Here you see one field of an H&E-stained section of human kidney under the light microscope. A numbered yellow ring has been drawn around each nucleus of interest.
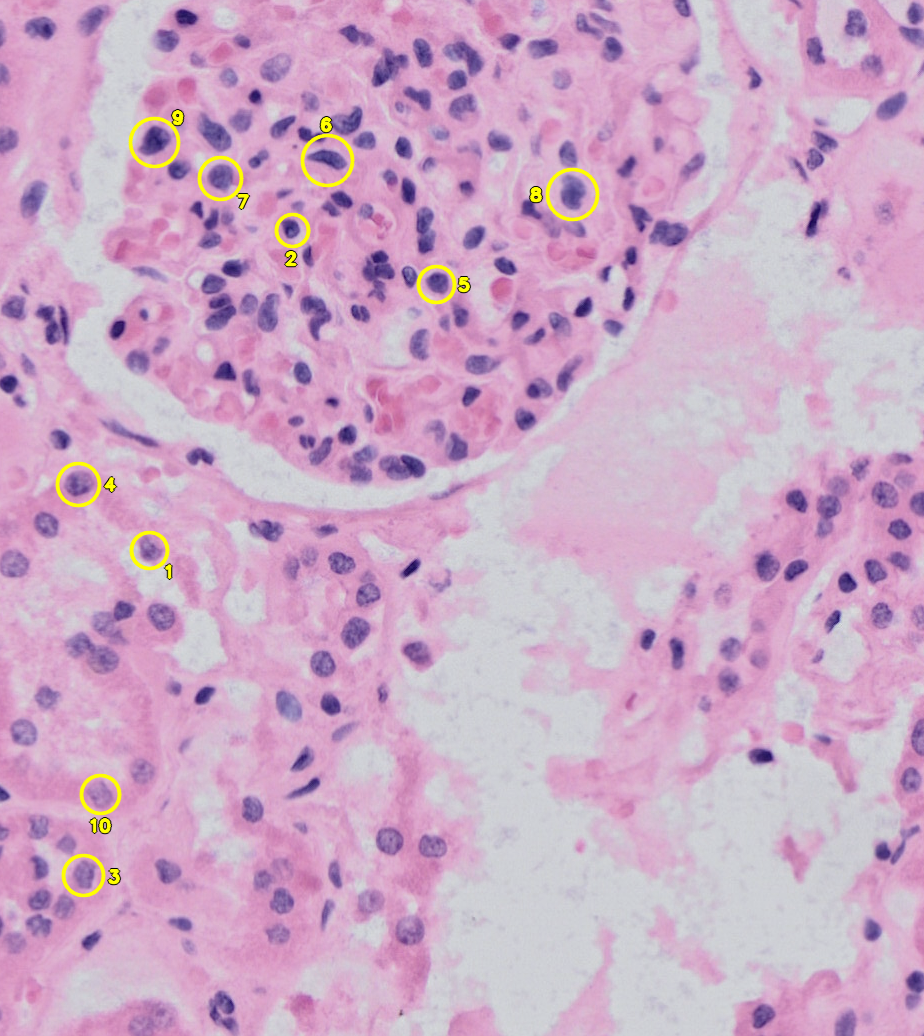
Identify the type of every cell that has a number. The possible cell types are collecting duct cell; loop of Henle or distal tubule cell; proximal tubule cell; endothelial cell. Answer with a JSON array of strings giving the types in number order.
["proximal tubule cell", "endothelial cell", "loop of Henle or distal tubule cell", "proximal tubule cell", "endothelial cell", "endothelial cell", "endothelial cell", "endothelial cell", "endothelial cell", "proximal tubule cell"]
